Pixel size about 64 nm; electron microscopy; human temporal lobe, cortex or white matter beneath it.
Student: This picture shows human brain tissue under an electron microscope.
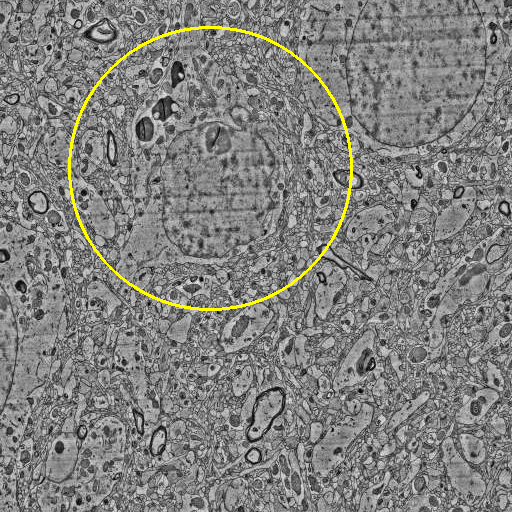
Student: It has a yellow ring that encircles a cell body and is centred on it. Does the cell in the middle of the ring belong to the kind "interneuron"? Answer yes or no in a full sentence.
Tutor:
Yes, the cell in the middle of the ring in this picture is of that kind.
